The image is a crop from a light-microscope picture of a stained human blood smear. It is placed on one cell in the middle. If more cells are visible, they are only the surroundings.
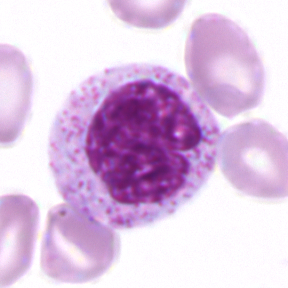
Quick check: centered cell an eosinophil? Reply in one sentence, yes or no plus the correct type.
No, the central cell isn't an eosinophil, but a band neutrophil.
